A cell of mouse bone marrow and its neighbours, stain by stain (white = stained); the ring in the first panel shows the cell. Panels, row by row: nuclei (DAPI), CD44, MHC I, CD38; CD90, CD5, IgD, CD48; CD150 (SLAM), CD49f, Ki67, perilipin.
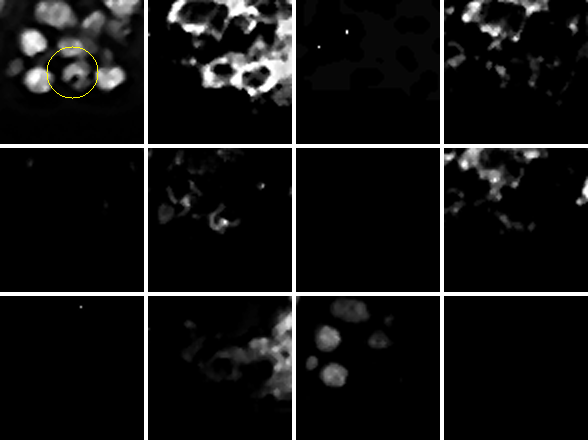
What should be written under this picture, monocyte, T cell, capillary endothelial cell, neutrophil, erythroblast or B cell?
monocyte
